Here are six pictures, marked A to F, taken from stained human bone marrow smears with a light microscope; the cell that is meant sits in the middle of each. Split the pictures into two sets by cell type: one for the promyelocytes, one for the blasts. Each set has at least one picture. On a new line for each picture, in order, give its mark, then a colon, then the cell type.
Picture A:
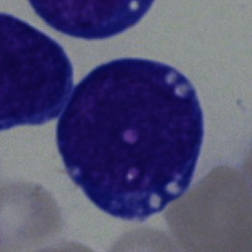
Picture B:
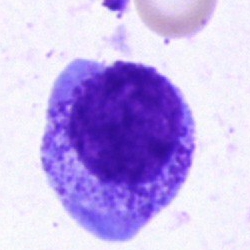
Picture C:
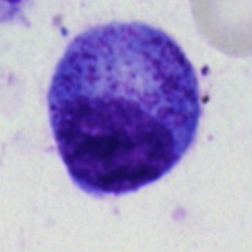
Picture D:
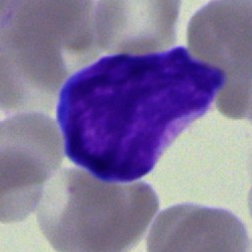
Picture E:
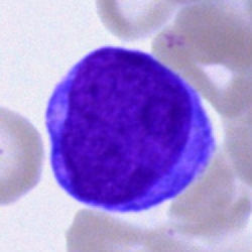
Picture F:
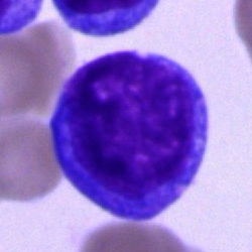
A: blast
B: promyelocyte
C: promyelocyte
D: blast
E: blast
F: blast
